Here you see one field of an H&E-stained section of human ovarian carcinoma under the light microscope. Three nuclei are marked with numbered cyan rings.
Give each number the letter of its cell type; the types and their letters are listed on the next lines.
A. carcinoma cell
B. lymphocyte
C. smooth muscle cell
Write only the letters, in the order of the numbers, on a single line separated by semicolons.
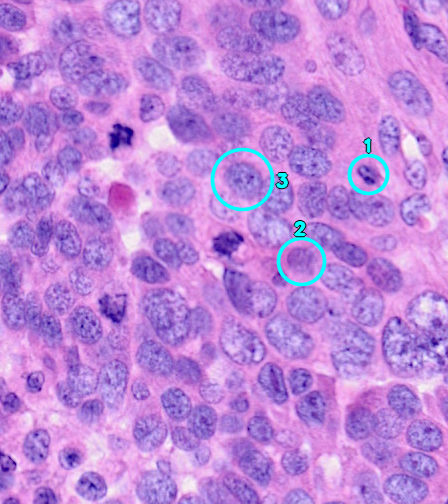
B; A; A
